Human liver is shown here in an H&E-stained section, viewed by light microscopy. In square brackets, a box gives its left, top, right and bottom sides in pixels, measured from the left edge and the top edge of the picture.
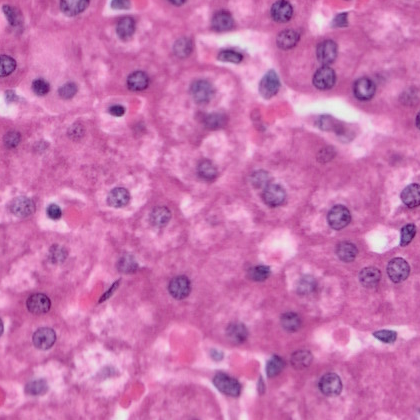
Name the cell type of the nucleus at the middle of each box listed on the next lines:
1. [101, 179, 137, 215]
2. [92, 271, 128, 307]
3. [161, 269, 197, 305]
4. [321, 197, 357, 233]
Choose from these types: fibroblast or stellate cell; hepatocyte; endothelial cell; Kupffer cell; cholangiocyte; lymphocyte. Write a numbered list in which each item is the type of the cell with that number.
1. hepatocyte
2. endothelial cell
3. hepatocyte
4. hepatocyte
